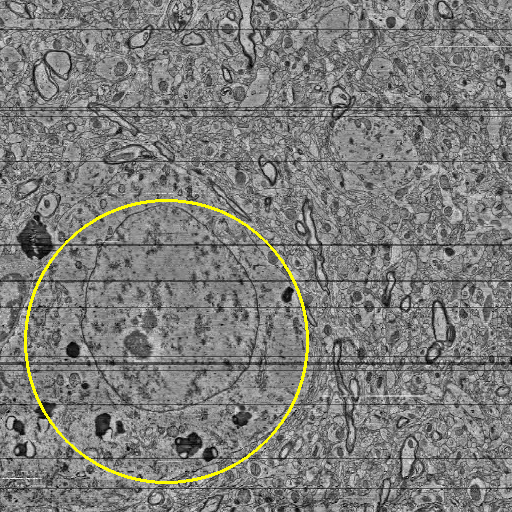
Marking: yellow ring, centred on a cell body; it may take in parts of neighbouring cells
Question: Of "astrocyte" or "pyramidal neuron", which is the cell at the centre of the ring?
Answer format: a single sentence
The ring surrounds the body of a pyramidal neuron.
